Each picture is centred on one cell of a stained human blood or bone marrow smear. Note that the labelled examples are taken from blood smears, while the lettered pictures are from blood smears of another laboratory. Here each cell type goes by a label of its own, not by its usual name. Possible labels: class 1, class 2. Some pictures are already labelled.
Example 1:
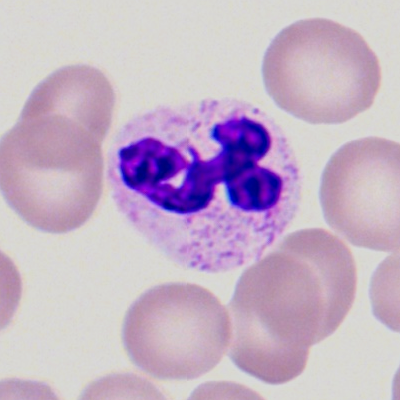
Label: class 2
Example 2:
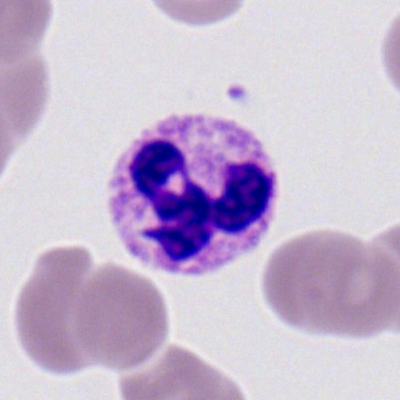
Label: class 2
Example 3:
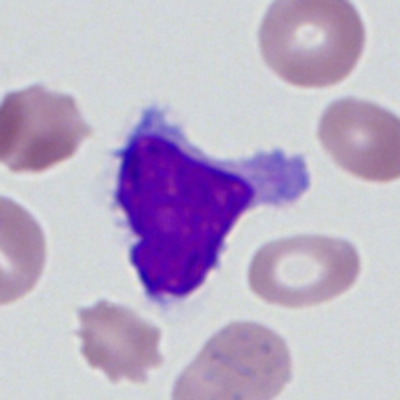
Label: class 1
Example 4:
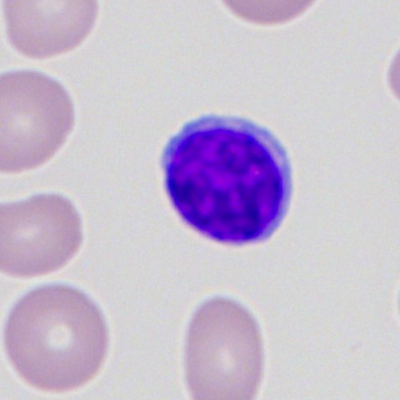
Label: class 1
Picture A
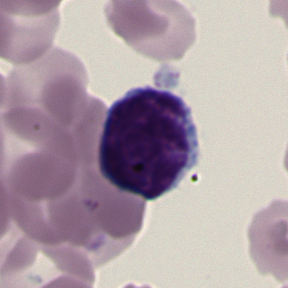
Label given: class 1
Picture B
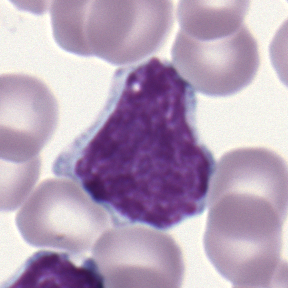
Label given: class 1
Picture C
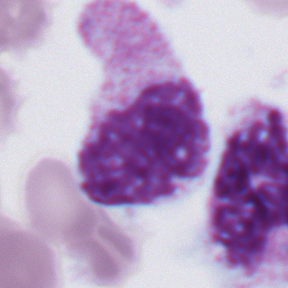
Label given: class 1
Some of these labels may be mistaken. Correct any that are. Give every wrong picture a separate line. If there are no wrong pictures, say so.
C is labelled class 1; correct label: class 2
